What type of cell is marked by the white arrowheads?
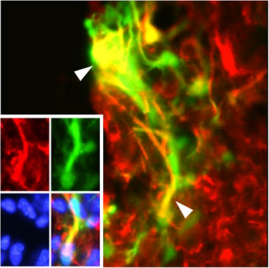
Astrocytes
